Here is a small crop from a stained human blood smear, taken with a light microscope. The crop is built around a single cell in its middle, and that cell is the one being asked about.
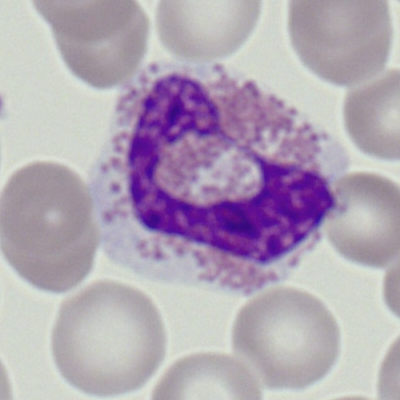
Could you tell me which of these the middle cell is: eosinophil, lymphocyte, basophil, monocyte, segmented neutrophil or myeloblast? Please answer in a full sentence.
Classified as an eosinophil is the cell in the middle of this crop.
